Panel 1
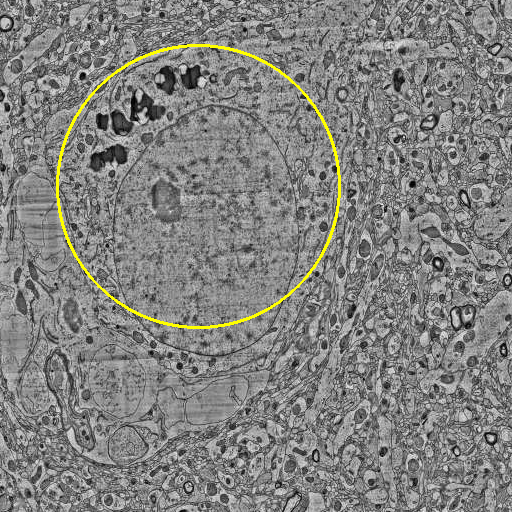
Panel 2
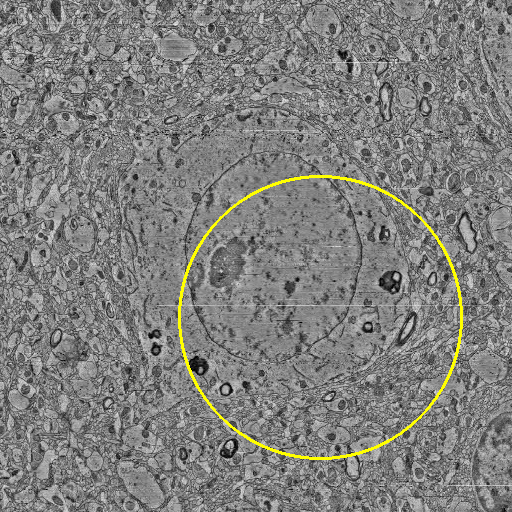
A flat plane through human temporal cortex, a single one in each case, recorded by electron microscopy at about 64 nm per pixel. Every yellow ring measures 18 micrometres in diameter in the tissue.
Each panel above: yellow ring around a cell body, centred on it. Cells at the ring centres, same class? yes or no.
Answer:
yes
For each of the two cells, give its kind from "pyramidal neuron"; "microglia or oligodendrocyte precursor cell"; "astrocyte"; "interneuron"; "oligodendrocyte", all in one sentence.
Each one of the two ringed cells is a pyramidal neuron.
